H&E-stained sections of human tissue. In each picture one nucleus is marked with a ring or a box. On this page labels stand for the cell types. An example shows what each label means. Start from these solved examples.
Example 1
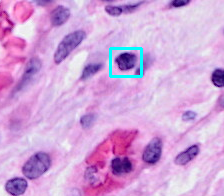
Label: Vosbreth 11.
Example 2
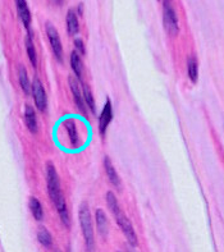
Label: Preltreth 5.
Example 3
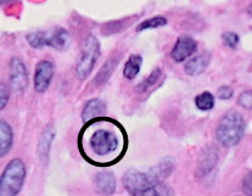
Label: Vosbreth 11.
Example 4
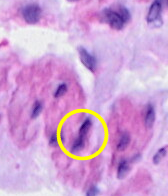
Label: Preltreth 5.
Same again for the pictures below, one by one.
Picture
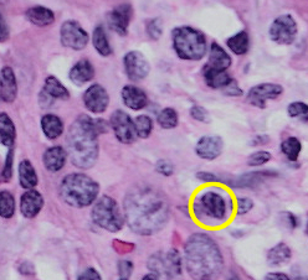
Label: Vosbreth 11.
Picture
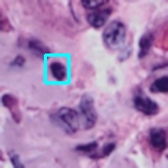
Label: Vosbreth 11.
